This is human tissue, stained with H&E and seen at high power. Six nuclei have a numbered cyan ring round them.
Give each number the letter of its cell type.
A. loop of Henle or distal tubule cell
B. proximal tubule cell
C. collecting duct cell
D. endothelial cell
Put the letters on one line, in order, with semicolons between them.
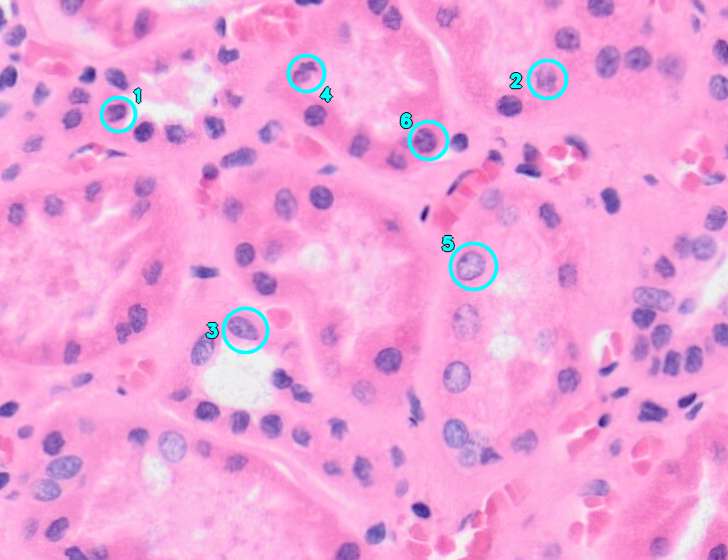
A; B; A; B; B; B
